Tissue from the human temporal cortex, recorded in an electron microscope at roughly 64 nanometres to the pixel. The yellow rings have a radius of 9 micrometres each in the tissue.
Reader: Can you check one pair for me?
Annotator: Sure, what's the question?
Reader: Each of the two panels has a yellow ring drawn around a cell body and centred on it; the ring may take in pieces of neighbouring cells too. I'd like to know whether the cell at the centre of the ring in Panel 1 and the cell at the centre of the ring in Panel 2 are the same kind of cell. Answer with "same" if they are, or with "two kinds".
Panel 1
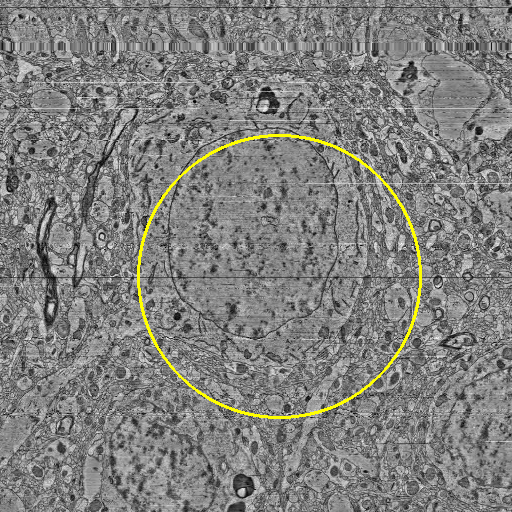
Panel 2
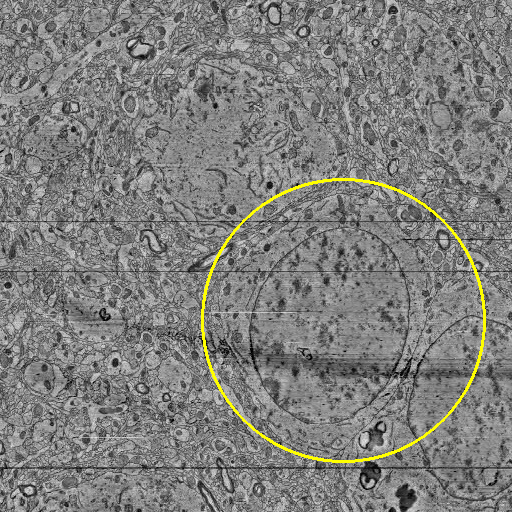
same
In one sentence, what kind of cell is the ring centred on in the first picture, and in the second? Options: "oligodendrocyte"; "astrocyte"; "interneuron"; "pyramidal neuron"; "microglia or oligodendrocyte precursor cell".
Each cell, in the first picture and the second, is a pyramidal neuron.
